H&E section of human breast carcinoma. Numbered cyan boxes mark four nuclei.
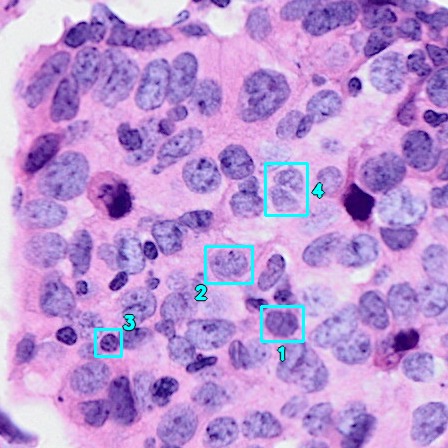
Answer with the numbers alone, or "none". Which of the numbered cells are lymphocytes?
3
